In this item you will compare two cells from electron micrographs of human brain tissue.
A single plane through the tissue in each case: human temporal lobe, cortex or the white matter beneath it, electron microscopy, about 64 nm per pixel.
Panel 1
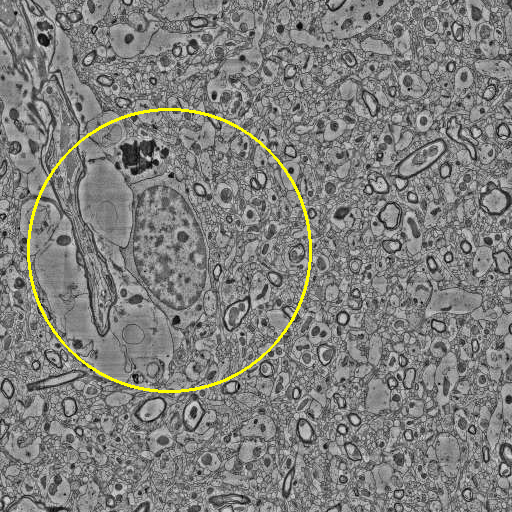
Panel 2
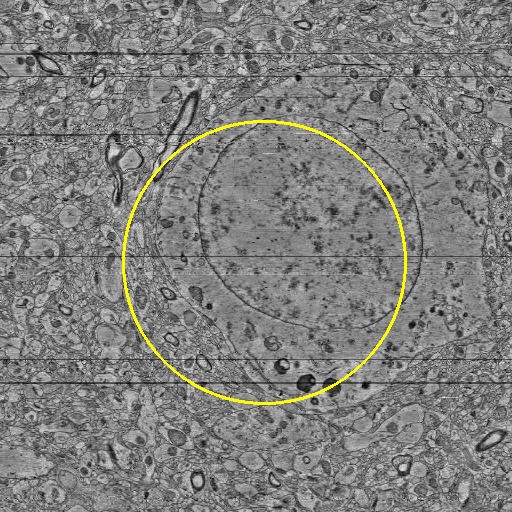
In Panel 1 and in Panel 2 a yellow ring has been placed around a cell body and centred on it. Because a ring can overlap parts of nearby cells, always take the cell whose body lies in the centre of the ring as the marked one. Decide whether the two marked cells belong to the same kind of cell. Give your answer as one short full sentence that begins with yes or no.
No, the two marked cells belong to two kinds of cell.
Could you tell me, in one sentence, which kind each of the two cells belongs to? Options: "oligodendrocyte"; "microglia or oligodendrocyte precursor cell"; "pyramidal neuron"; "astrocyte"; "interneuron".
At the centre of the first ring sits an oligodendrocyte, and at the centre of the second sits a pyramidal neuron.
